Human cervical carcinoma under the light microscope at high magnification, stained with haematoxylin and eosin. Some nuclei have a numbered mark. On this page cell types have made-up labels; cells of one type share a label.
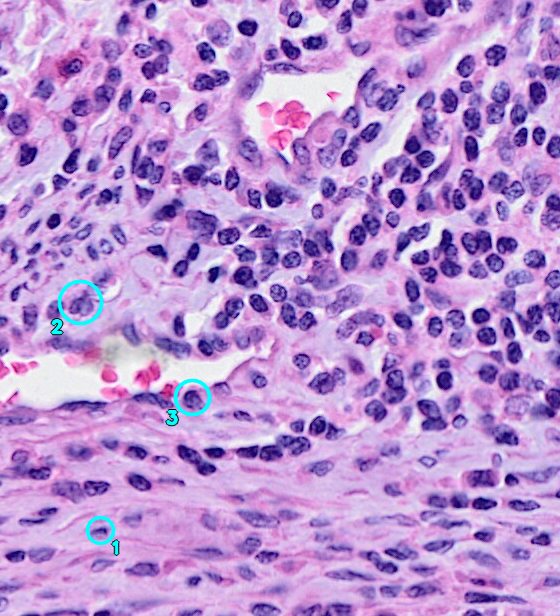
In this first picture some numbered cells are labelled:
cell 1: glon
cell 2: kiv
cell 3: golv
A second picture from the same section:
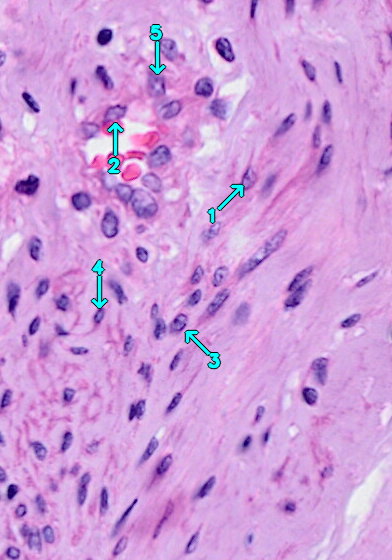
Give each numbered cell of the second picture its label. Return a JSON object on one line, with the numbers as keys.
{"1": "glon", "2": "golv", "3": "glon", "4": "glon", "5": "golv"}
